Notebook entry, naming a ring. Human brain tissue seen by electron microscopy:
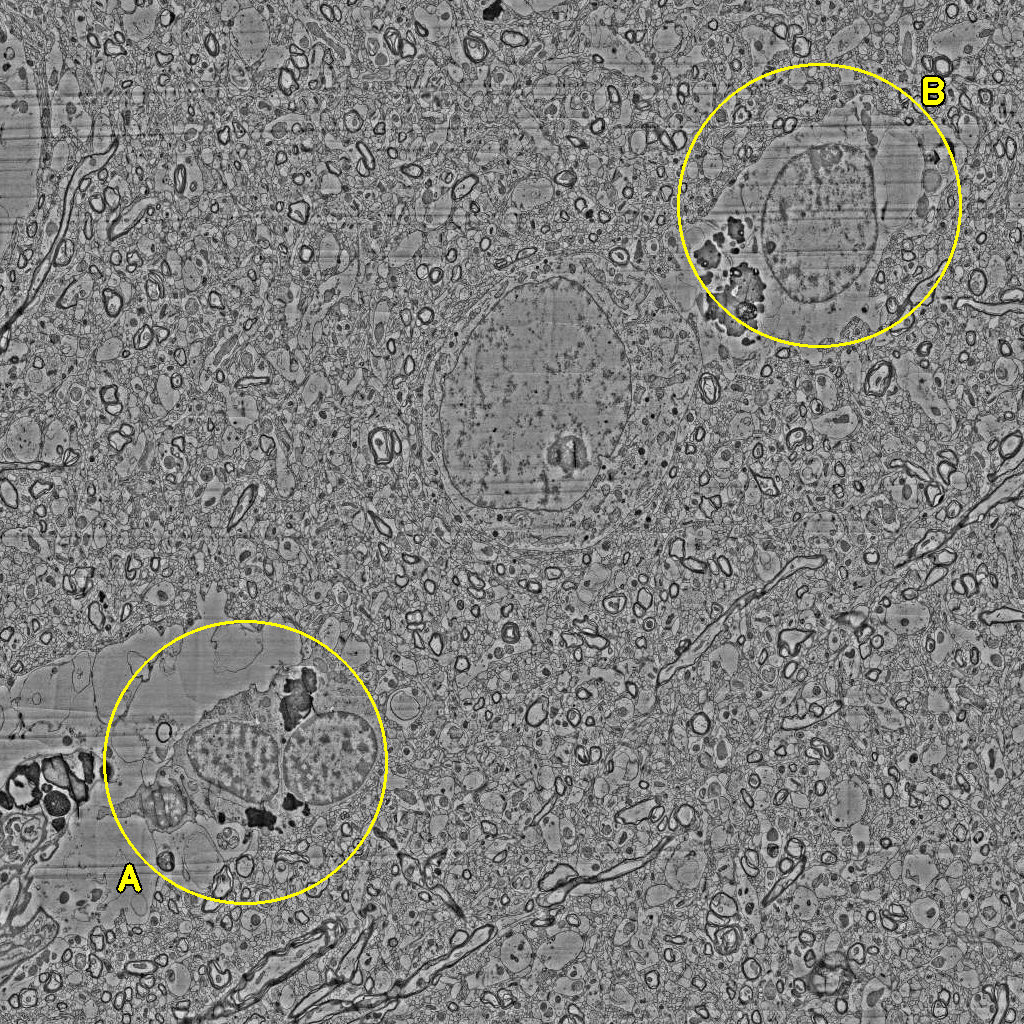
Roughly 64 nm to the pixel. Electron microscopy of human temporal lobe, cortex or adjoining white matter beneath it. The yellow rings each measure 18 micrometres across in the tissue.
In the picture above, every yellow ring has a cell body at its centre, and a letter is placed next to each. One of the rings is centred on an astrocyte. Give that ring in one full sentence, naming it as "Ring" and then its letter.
Ring B is the ring whose centre holds the cell asked for.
